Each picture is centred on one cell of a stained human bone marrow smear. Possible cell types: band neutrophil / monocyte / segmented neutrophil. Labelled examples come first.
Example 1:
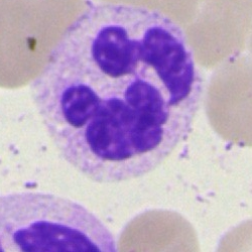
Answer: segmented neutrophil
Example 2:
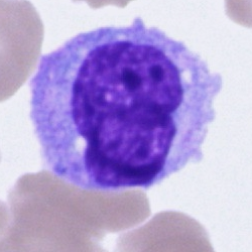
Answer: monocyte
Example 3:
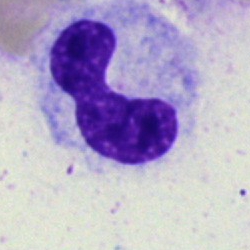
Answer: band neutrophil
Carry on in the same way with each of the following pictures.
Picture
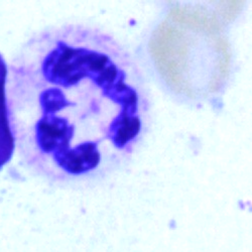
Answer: segmented neutrophil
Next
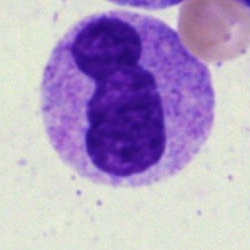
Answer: band neutrophil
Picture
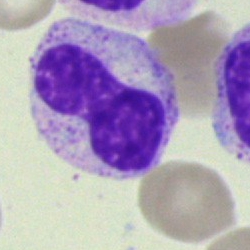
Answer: band neutrophil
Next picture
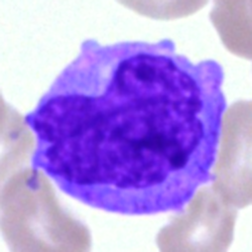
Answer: monocyte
